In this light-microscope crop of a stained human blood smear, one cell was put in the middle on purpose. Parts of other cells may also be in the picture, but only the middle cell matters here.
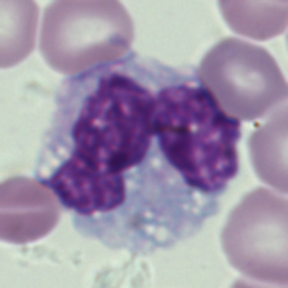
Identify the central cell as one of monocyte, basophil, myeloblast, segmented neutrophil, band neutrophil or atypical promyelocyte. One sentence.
The cell of interest, in the center, is a monocyte.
